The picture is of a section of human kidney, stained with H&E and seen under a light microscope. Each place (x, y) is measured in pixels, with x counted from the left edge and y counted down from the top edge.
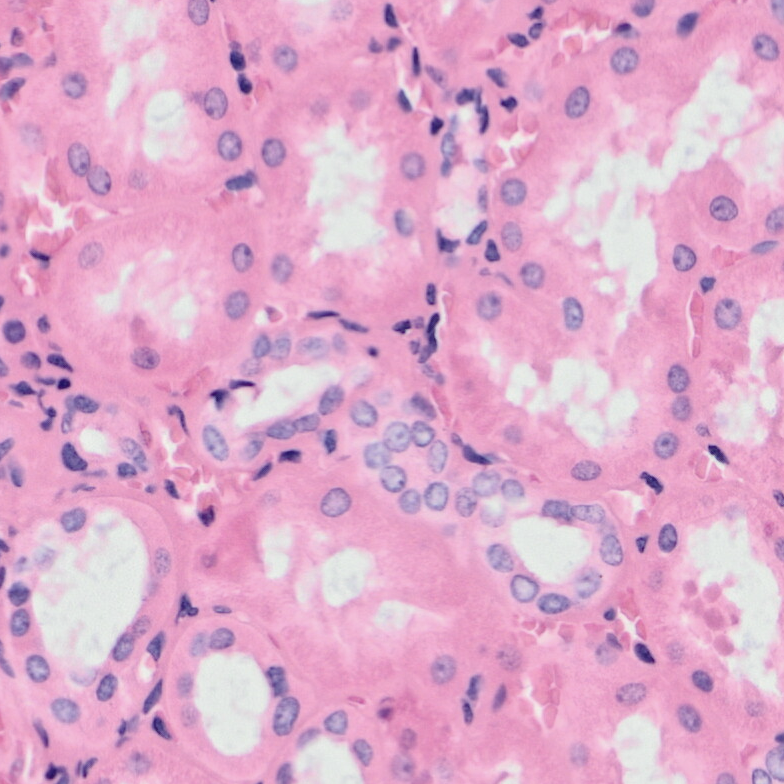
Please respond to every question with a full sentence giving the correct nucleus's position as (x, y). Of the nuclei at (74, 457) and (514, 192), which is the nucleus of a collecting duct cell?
Between the pair, the nucleus at (74, 457) belongs to a collecting duct cell.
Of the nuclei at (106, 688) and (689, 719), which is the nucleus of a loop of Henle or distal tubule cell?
Identify the nucleus at (106, 688) as the one belonging to a loop of Henle or distal tubule cell.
